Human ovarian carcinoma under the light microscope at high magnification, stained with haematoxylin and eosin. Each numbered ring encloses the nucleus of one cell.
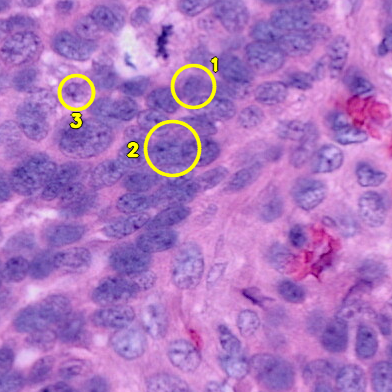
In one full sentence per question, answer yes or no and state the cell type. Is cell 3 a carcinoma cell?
No, cell 3 has been misnamed; it is a macrophage or monocyte, not a carcinoma cell.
